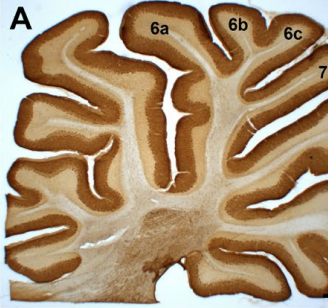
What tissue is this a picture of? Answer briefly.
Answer: Cerebellar vermis.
